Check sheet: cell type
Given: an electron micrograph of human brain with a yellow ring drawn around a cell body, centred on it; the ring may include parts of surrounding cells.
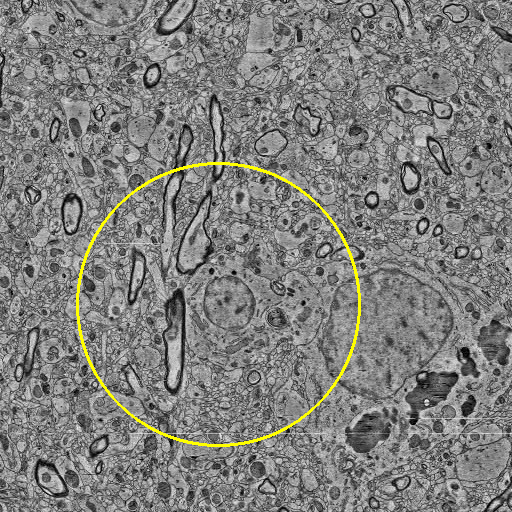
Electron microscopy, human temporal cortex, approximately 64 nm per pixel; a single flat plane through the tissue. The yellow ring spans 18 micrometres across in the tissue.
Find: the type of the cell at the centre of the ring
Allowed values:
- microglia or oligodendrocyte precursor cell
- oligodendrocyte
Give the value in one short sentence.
Here the ringed cell is a microglial cell or oligodendrocyte precursor cell.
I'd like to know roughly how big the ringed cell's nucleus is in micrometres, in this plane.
Roughly 3 micrometres across for the nucleus, in this plane.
